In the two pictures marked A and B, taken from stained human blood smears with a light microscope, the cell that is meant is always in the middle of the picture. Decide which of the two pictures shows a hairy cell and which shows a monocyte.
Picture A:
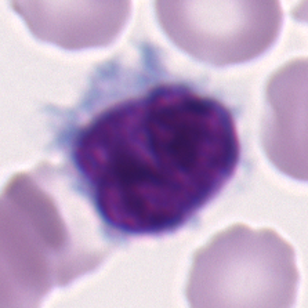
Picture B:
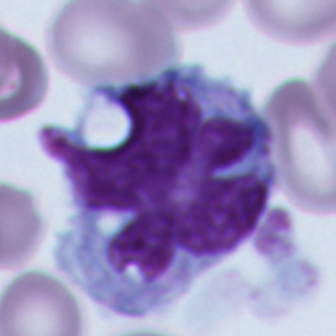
A: hairy cell
B: monocyte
